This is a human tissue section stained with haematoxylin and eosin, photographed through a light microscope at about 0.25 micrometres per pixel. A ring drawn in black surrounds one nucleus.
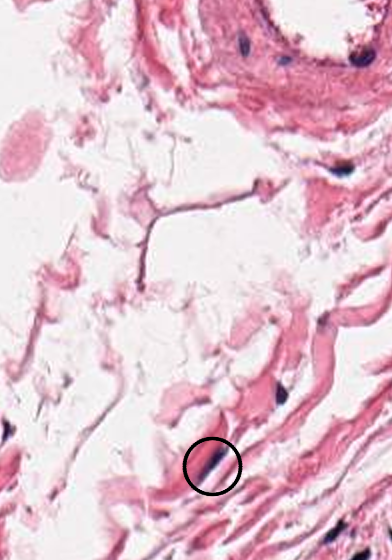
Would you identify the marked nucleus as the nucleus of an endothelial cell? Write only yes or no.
no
